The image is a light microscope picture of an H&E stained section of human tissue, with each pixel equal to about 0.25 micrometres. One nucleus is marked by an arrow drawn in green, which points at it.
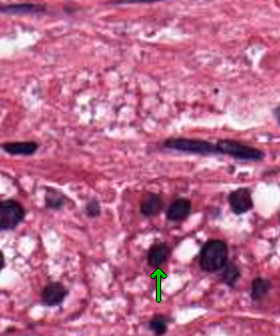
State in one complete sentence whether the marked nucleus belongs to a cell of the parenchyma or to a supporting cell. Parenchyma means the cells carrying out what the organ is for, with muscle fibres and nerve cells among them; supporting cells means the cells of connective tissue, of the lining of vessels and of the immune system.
The marked nucleus is located in a parenchymal cell, namely an adrenal cortical cell.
